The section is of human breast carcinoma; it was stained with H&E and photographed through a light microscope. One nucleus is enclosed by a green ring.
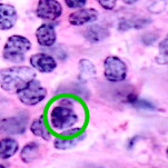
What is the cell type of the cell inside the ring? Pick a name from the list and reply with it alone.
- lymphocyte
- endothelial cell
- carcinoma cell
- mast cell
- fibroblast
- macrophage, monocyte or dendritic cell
lymphocyte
